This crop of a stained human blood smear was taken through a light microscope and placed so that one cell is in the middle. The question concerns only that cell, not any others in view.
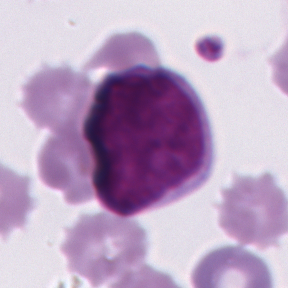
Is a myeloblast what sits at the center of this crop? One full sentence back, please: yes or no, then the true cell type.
Yes, the identity of the central cell is that of a myeloblast.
